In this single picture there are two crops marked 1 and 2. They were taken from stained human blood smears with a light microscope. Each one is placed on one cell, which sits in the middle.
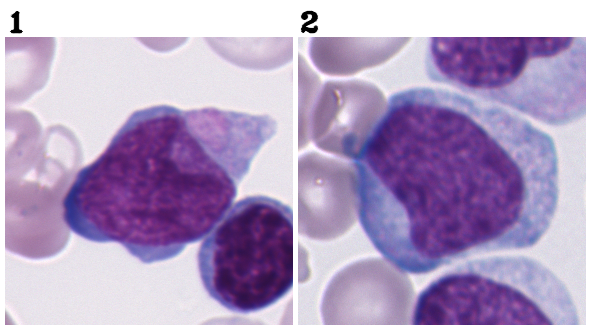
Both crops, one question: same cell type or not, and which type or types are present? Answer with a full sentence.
No, the middle of crop 1 shows a blast, and the middle of crop 2 shows a promyelocyte.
